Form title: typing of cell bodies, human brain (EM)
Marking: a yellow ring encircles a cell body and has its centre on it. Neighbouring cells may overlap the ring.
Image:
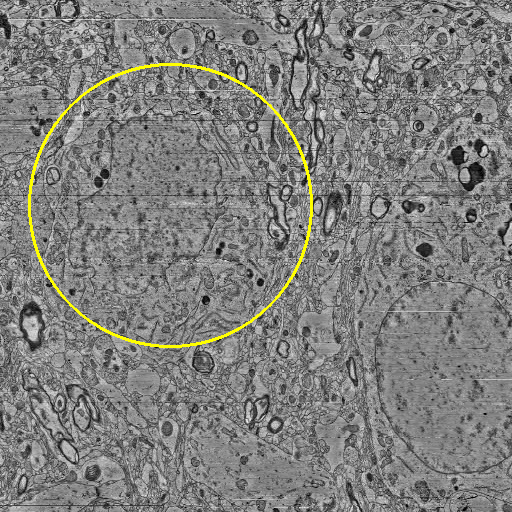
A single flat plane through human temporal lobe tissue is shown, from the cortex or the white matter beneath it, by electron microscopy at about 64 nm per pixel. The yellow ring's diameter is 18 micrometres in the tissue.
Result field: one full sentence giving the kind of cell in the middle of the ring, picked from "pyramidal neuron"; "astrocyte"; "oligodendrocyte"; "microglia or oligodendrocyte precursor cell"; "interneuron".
In the picture, the ring is centred on an interneuron, whose cell body it encircles.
